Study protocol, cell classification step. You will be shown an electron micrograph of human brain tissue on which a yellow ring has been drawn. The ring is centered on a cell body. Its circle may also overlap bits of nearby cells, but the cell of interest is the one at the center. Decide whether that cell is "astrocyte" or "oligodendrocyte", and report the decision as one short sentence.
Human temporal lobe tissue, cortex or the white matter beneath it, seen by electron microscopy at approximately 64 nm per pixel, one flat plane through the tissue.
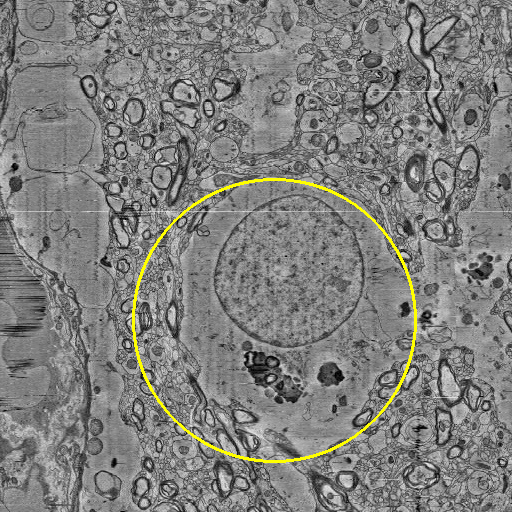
The marked cell is an astrocyte.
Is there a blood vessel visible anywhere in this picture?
Yes, a vessel shows somewhere in the image.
